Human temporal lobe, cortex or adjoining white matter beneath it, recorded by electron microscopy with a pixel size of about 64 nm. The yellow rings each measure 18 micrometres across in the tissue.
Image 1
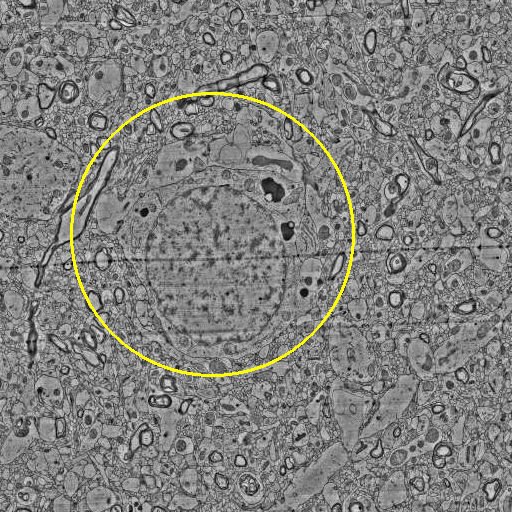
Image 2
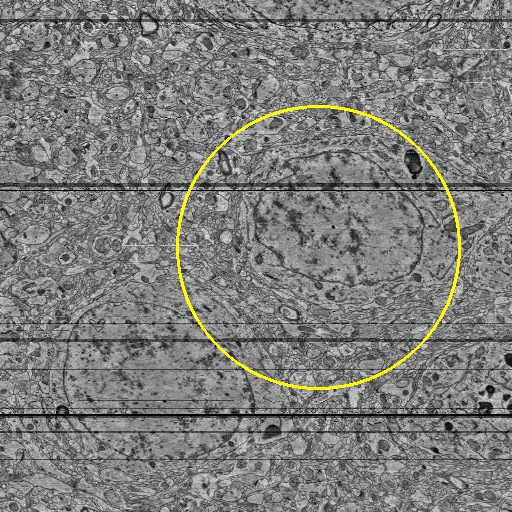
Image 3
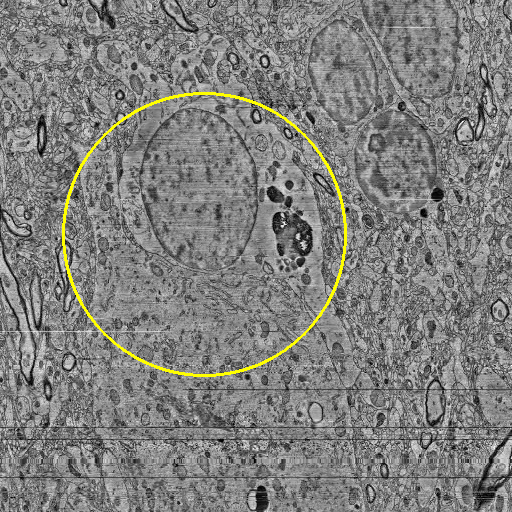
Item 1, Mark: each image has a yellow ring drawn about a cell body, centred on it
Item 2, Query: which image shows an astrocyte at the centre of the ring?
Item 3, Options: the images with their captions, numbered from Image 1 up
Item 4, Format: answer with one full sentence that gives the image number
My answer is image 3, where the cell at the ring's centre fits.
